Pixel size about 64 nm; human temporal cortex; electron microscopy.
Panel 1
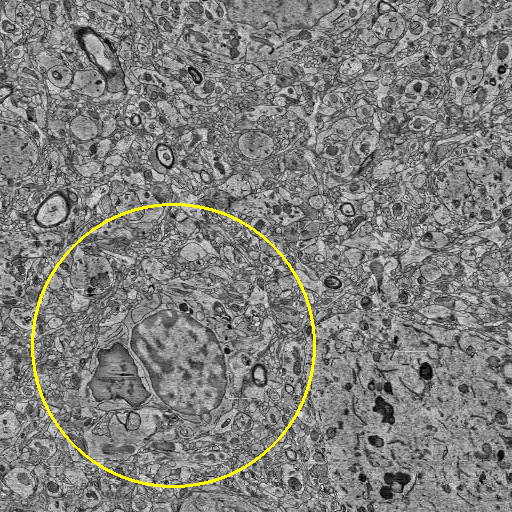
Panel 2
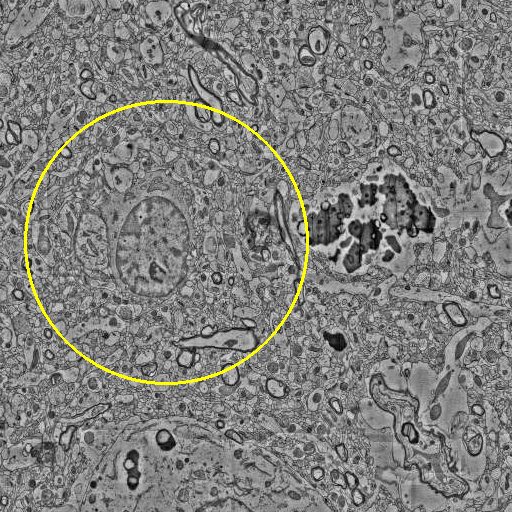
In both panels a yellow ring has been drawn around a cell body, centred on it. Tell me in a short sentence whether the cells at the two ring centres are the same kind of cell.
No, they are two kinds of cell.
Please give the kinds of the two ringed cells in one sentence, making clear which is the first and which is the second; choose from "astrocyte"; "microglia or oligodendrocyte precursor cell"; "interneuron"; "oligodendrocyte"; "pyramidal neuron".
In the second picture the ringed cell is an oligodendrocyte; in the first it is a microglial cell or oligodendrocyte precursor cell.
